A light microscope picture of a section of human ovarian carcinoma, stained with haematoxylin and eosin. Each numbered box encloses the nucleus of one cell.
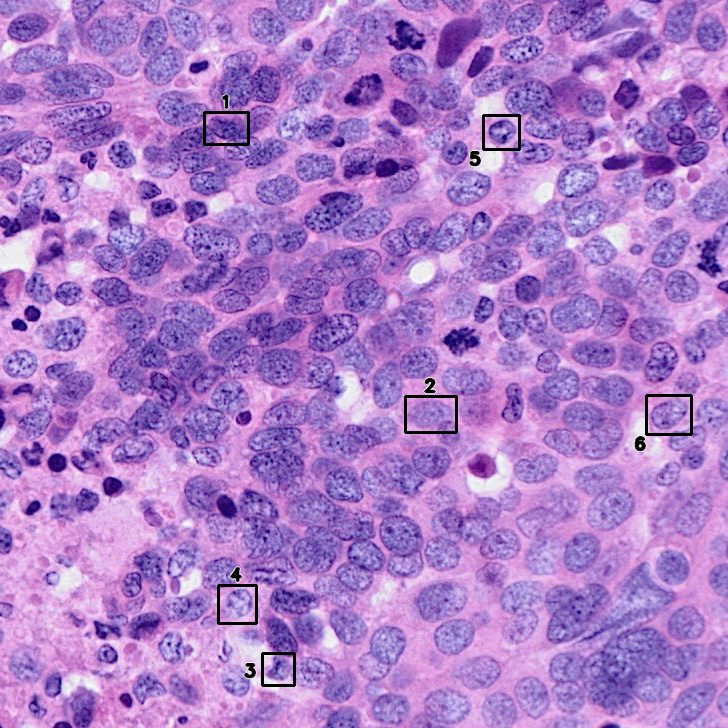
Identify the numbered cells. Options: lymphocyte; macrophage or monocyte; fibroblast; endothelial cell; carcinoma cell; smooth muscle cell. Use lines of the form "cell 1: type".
cell 1: carcinoma cell
cell 2: carcinoma cell
cell 3: macrophage or monocyte
cell 4: macrophage or monocyte
cell 5: macrophage or monocyte
cell 6: macrophage or monocyte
